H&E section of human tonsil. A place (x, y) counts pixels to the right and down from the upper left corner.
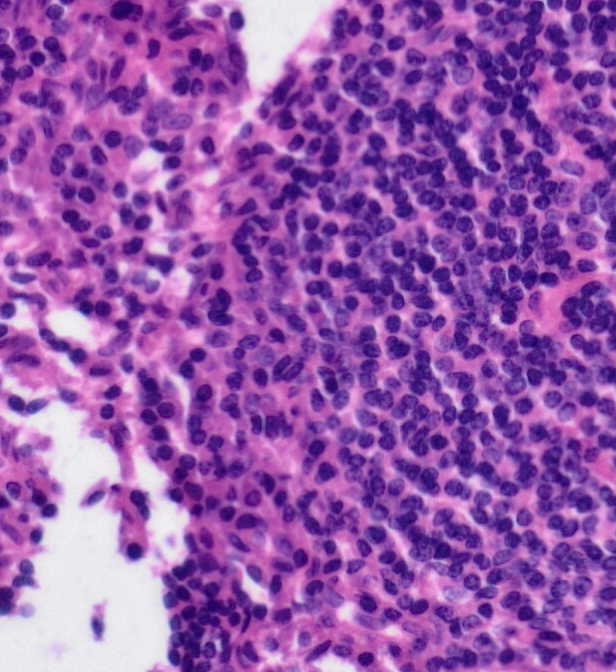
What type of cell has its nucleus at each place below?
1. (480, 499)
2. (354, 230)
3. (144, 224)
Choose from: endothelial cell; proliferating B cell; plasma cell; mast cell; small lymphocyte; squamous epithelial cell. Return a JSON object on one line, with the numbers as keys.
{"1": "small lymphocyte", "2": "small lymphocyte", "3": "plasma cell"}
